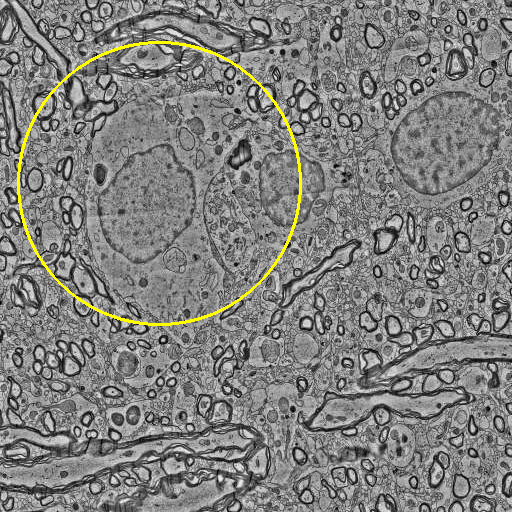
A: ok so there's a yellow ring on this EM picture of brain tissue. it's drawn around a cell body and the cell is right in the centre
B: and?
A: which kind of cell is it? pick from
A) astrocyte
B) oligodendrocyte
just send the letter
A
